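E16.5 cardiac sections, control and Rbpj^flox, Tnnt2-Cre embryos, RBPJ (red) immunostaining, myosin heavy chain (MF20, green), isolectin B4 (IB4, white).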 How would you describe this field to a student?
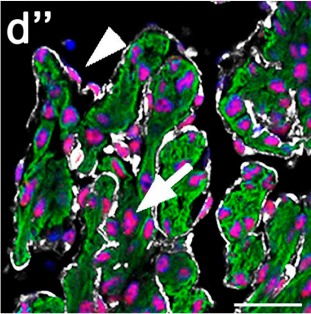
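The trabeculae appear as rounded and elongated strands of cells cut in section, separated by dark empty lumen. Each strand is packed with cells whose cytoplasm fills with green, and their nuclei show magenta where red overlaps blue. A thin white line outlines the surface of every strand, formed by flattened cells at the edge facing the lumen. These lining cells are small and thin compared with the bulky green cells beneath them.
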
